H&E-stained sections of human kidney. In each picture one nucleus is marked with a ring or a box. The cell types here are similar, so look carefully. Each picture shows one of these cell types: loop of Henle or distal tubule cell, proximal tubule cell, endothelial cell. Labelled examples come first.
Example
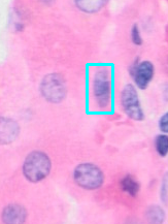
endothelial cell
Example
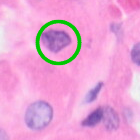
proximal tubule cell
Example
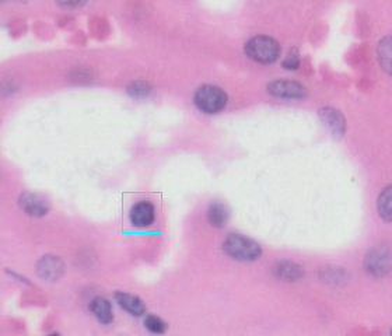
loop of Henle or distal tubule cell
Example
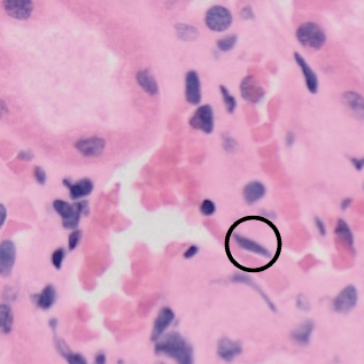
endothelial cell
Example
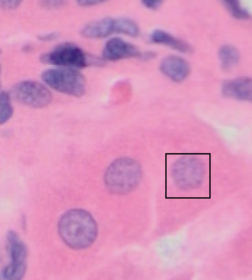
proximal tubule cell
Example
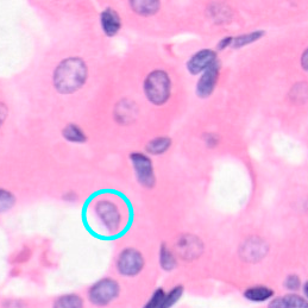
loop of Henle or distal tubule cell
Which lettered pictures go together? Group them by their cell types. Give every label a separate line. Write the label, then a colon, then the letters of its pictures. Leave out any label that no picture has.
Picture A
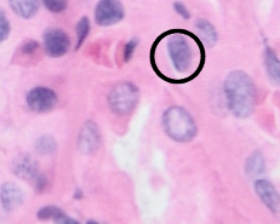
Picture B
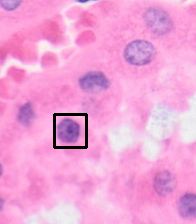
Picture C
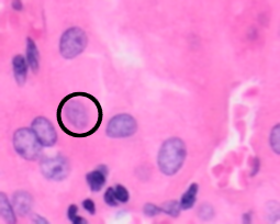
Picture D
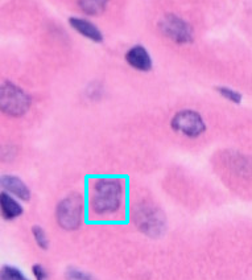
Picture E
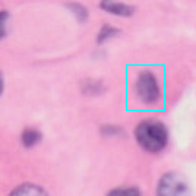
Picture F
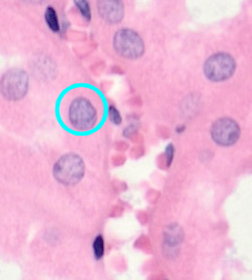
loop of Henle or distal tubule cell: E
proximal tubule cell: B, C, D, F
endothelial cell: A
